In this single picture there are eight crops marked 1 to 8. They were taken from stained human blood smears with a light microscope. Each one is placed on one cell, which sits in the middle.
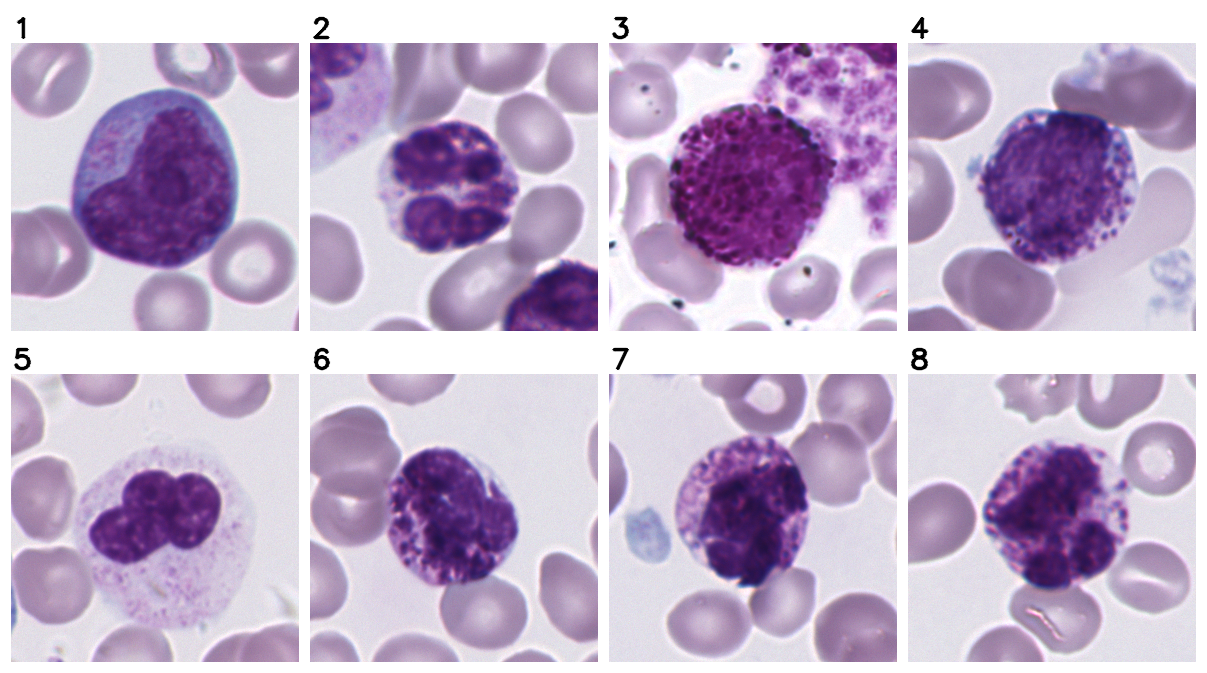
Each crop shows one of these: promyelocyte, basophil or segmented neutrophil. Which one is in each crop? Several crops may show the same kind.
1: promyelocyte
2: basophil
3: basophil
4: basophil
5: segmented neutrophil
6: basophil
7: basophil
8: basophil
